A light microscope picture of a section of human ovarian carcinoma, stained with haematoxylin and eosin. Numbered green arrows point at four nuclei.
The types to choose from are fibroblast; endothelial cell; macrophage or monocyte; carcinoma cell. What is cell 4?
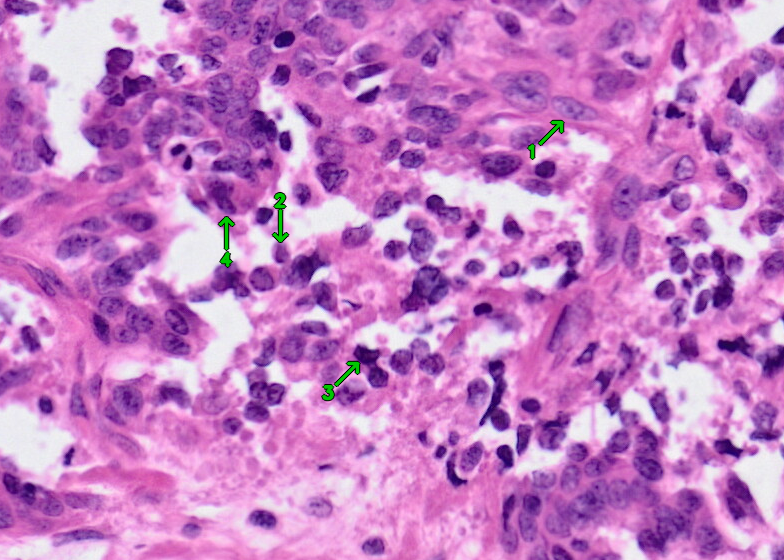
carcinoma cell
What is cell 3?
carcinoma cell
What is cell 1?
endothelial cell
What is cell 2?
carcinoma cell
